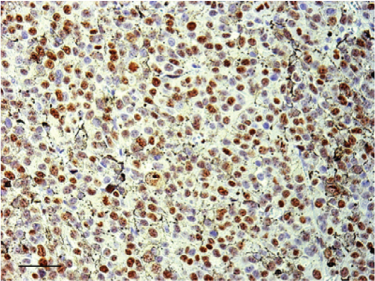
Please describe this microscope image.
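This is tumor tissue made of a solid sheet of densely packed tumor cells without any clear organised architecture. The cells are round to polygonal with large, roughly oval nuclei and pale cytoplasm. Most nuclei are stained brown, while a smaller number are only blue from the counterstain. Scattered among the cells are a few dark, thin, branching or spindle-shaped profiles. The nuclei vary somewhat in size, consistent with a pleomorphic, highly cellular tumor.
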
